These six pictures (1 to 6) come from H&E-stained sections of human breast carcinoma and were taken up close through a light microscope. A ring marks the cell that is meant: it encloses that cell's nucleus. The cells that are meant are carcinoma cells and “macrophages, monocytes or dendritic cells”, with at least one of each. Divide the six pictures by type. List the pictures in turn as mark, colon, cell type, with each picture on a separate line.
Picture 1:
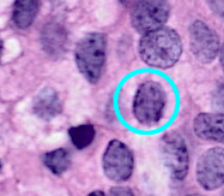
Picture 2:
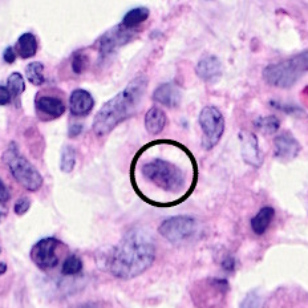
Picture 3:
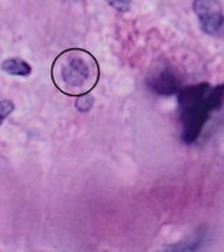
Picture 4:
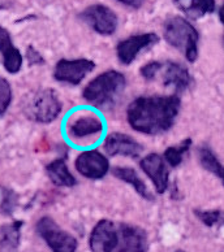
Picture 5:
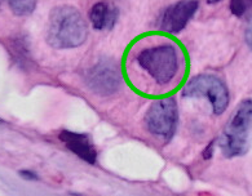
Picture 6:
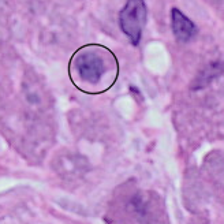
1: carcinoma cell
2: macrophage, monocyte or dendritic cell
3: macrophage, monocyte or dendritic cell
4: carcinoma cell
5: carcinoma cell
6: macrophage, monocyte or dendritic cell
